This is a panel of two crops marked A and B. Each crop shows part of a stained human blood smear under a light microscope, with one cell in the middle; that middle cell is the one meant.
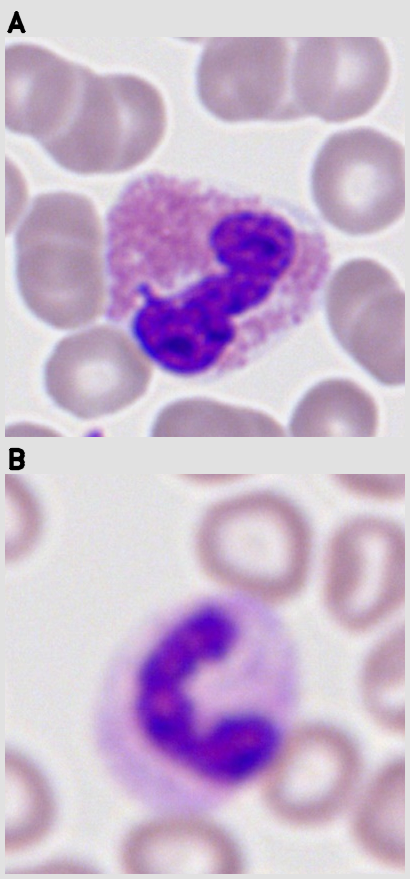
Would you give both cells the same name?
no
